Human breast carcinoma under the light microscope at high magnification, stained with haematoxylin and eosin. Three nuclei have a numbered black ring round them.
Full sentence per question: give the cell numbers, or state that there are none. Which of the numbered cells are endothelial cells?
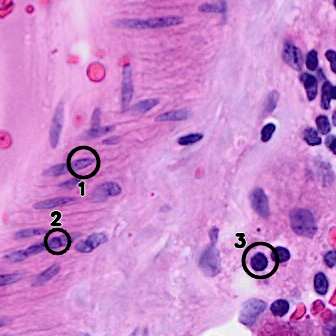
Within the section, cells numbered 1 and 2 are endothelial cells.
